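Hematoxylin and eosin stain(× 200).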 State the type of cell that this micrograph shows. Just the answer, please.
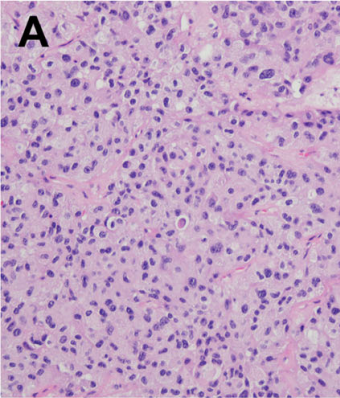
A: Large polygonal shaped tumor cells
